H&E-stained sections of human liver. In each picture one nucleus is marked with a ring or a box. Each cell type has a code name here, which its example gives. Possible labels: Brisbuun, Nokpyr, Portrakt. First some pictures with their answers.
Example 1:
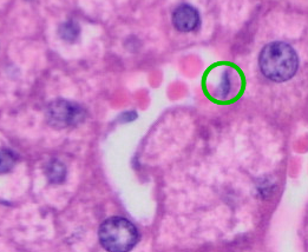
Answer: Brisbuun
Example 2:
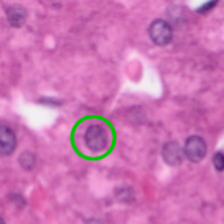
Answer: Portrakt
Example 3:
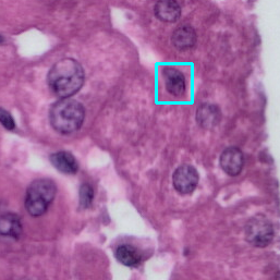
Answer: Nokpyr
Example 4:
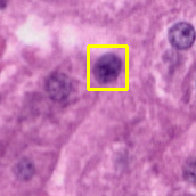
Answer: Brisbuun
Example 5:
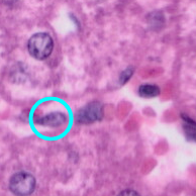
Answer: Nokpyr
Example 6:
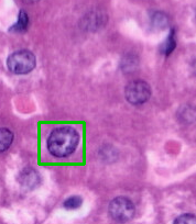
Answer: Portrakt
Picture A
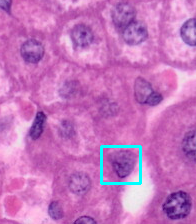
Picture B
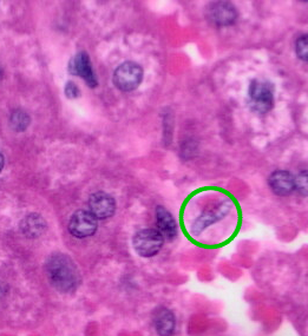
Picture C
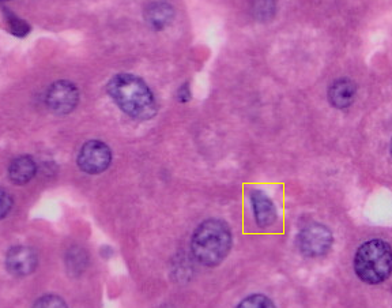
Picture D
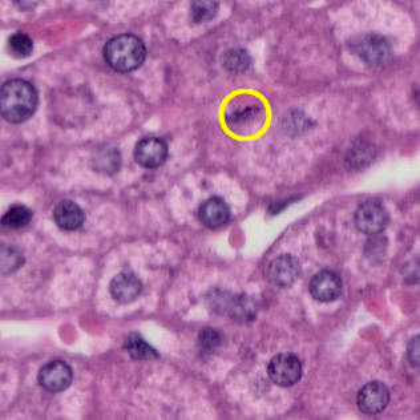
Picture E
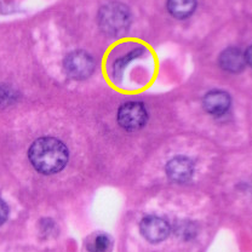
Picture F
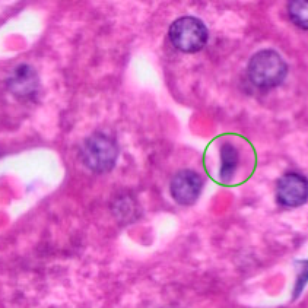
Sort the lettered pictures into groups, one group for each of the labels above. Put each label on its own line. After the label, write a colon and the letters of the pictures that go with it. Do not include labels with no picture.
Brisbuun: A, C, D, E
Nokpyr: B, F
